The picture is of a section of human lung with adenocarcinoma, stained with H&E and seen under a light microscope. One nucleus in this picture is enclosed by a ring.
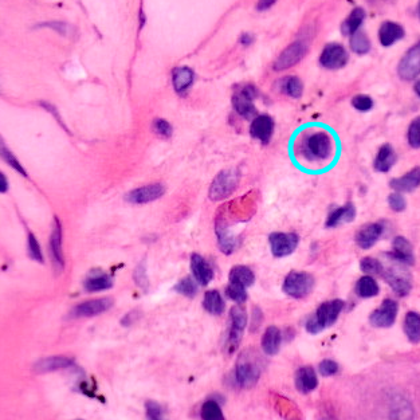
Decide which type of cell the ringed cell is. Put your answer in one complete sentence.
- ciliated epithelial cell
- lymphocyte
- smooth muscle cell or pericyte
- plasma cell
The ringed cell is a lymphocyte.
